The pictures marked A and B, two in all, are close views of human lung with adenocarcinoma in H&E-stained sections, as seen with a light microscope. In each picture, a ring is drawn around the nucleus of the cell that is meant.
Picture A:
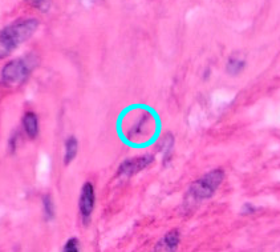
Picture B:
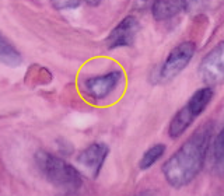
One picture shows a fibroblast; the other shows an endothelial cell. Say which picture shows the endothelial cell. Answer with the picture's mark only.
B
